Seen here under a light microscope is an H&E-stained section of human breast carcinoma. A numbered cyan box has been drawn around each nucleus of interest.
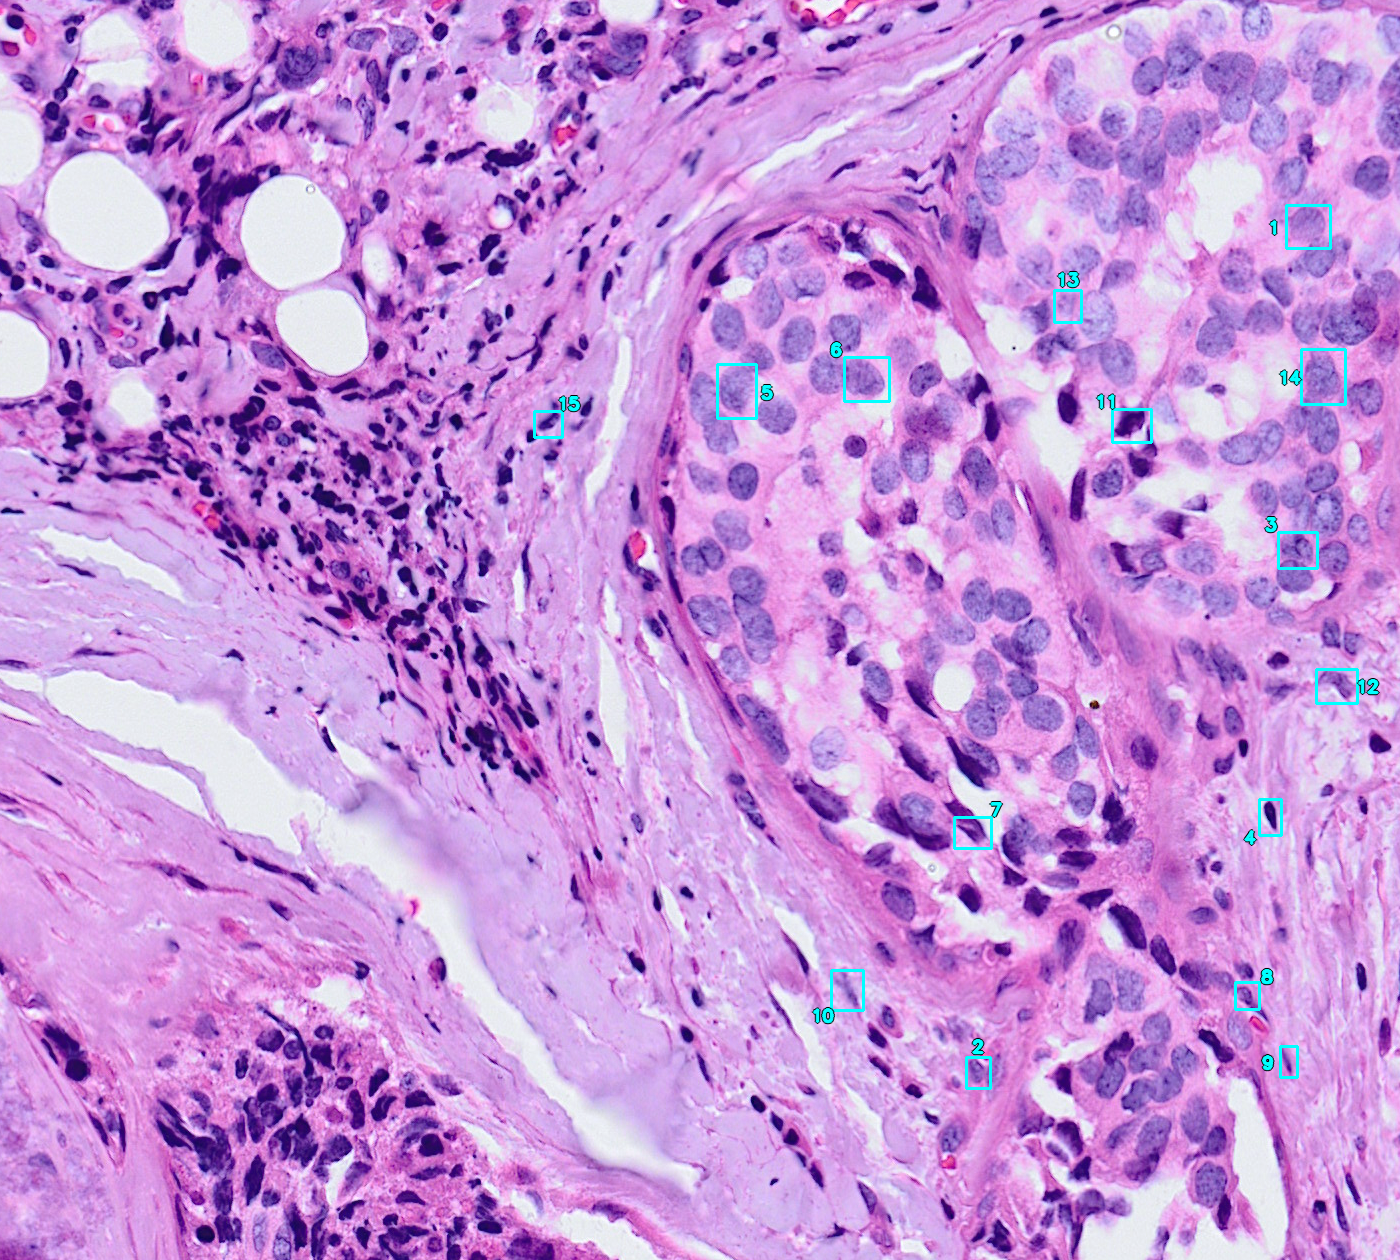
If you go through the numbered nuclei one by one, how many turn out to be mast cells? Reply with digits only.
0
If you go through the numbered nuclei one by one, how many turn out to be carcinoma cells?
8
